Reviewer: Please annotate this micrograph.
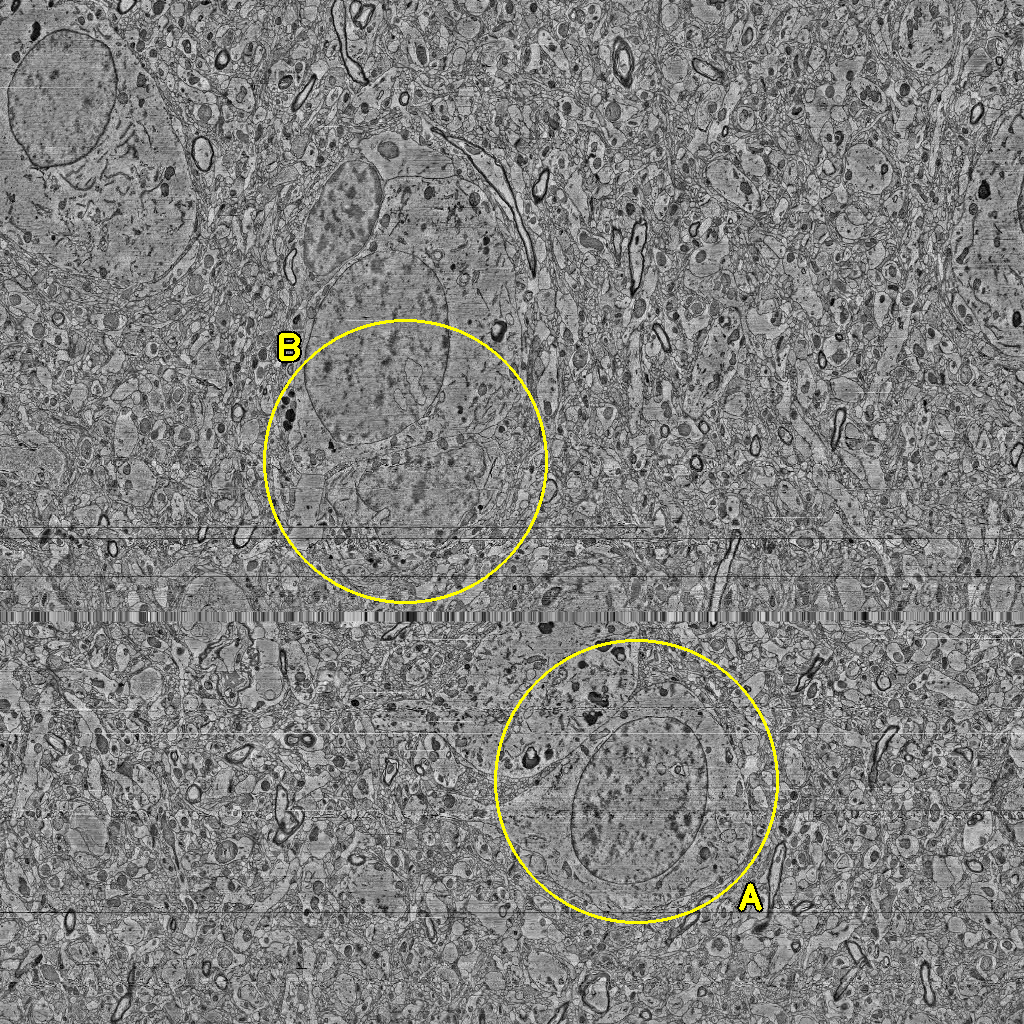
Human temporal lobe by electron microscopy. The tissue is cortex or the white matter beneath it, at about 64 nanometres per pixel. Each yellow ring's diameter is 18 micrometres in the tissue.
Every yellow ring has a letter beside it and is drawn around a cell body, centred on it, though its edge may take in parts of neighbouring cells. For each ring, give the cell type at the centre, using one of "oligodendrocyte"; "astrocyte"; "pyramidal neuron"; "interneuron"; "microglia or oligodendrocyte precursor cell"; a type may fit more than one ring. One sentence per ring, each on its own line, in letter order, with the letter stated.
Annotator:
The cell in the middle of ring A is a pyramidal neuron.
The cell in the middle of ring B is an interneuron.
